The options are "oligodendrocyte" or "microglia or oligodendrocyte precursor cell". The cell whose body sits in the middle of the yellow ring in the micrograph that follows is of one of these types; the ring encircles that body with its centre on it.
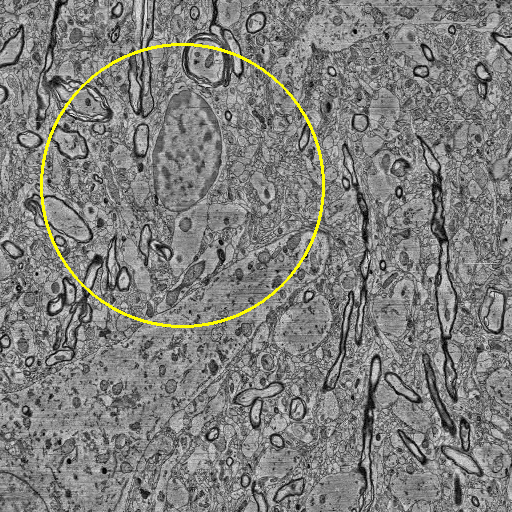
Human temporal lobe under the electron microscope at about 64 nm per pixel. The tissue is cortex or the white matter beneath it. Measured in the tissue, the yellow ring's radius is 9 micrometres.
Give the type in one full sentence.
Going by the micrograph, the cell centred in the yellow ring is a microglial cell or oligodendrocyte precursor cell.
